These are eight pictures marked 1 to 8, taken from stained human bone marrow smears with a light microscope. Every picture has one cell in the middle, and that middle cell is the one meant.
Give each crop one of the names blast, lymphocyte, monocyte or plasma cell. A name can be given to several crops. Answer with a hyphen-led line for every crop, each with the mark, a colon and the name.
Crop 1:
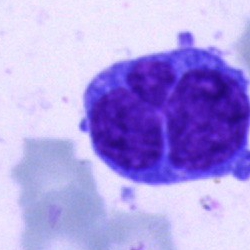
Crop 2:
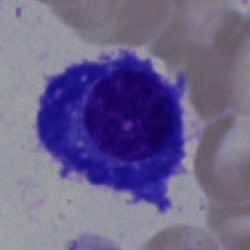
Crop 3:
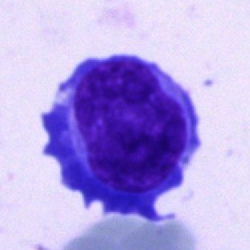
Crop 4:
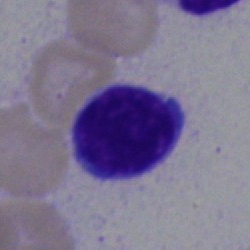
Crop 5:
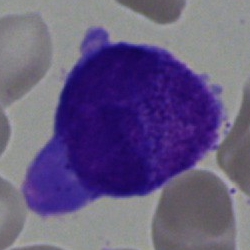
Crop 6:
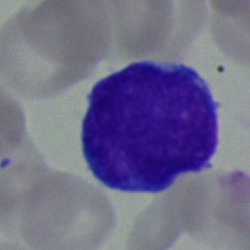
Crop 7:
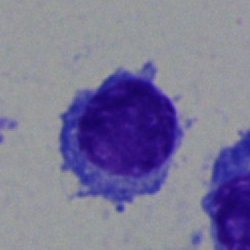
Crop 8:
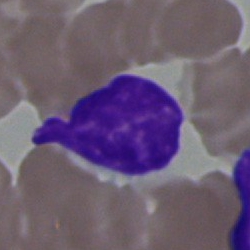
- 1: blast
- 2: plasma cell
- 3: blast
- 4: lymphocyte
- 5: blast
- 6: blast
- 7: plasma cell
- 8: lymphocyte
